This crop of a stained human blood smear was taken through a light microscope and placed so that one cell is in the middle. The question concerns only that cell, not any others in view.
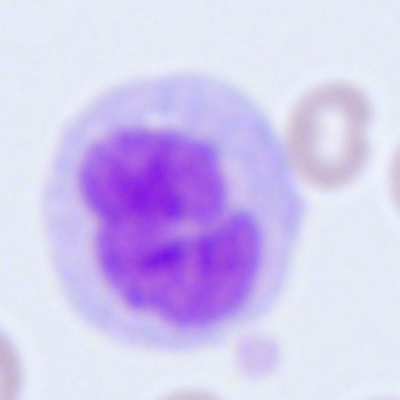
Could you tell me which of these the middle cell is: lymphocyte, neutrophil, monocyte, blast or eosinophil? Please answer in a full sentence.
The cell at the middle of the frame should be recorded as a monocyte.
